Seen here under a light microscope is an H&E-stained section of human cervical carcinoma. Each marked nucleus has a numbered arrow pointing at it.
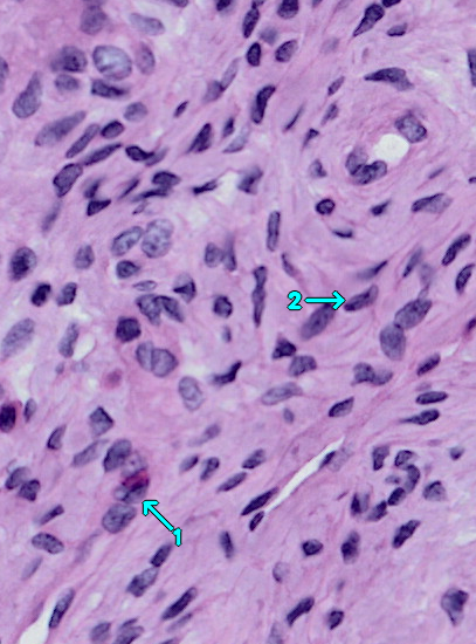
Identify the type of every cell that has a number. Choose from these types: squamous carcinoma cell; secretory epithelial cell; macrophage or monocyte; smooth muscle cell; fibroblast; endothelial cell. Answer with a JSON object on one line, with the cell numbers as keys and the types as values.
{"1": "endothelial cell", "2": "fibroblast"}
